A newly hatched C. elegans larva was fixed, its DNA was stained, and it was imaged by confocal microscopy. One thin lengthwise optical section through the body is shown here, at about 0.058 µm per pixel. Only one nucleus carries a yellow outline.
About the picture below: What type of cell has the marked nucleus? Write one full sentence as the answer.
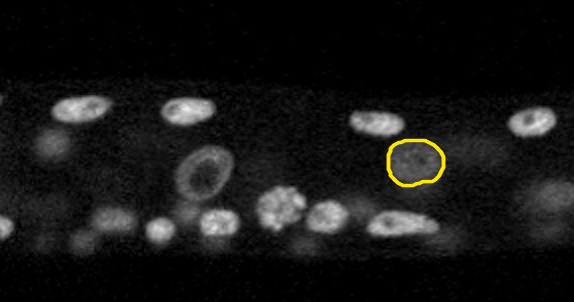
The marked nucleus is that of an intestinal cell.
